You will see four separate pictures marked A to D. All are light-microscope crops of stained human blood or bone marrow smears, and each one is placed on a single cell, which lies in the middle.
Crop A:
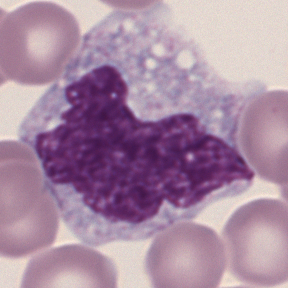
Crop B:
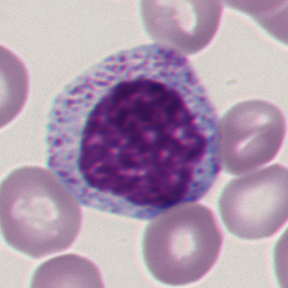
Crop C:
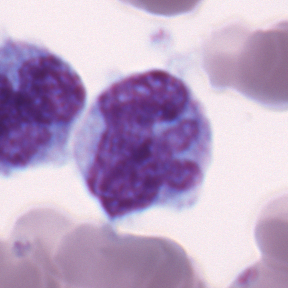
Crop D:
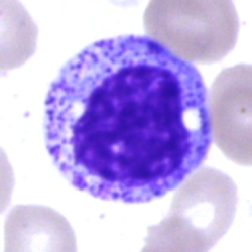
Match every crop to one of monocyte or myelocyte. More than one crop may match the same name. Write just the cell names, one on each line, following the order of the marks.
monocyte
myelocyte
monocyte
myelocyte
